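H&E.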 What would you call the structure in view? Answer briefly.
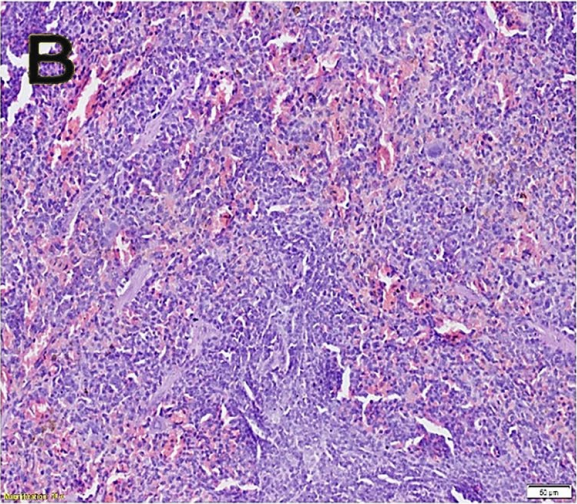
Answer: Lymphoid follicles.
